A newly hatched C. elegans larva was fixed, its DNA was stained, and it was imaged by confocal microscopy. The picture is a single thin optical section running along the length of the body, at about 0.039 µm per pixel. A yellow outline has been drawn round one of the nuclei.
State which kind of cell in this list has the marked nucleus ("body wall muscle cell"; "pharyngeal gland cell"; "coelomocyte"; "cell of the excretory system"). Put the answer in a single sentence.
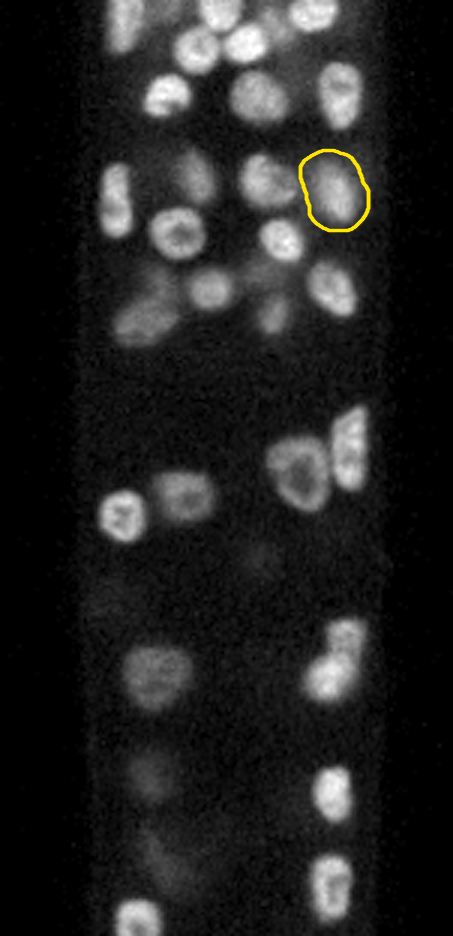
The nucleus comes from a cell of the excretory system.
